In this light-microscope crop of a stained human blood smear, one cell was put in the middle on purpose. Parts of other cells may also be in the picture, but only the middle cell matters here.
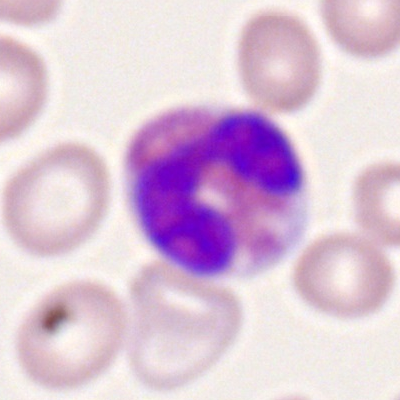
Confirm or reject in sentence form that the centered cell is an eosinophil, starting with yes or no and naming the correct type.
Yes, the cell that the crop is centred on is an eosinophil.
